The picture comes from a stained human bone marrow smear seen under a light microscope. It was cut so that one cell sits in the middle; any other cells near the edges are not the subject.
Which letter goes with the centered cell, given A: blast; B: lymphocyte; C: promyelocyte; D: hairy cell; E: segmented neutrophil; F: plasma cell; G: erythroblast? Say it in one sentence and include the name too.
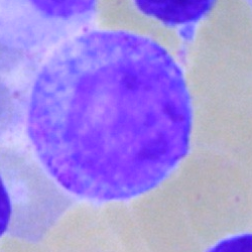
Occupying the middle of the crop is a promyelocyte, hence option C is correct.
